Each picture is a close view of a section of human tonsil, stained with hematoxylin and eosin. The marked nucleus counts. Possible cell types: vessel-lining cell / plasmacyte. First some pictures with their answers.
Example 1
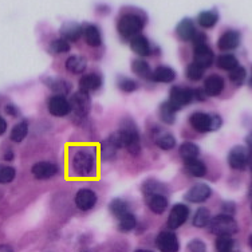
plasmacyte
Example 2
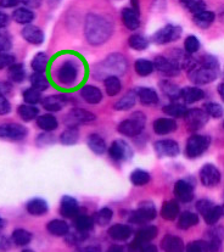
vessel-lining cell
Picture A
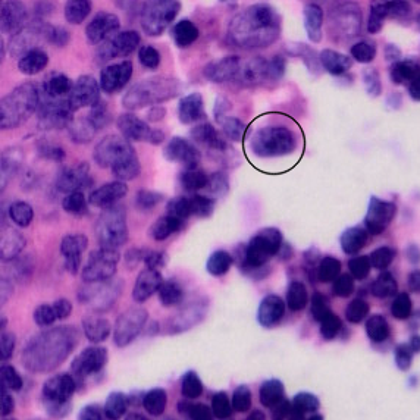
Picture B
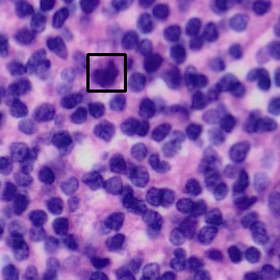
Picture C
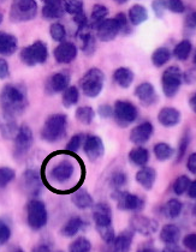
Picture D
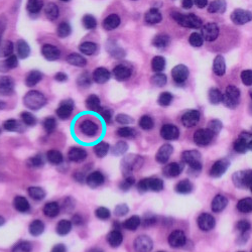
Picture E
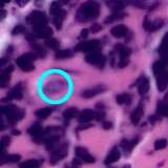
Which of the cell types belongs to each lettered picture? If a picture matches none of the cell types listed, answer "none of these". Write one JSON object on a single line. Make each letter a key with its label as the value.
{"A": "none of these", "B": "none of these", "C": "none of these", "D": "plasmacyte", "E": "vessel-lining cell"}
